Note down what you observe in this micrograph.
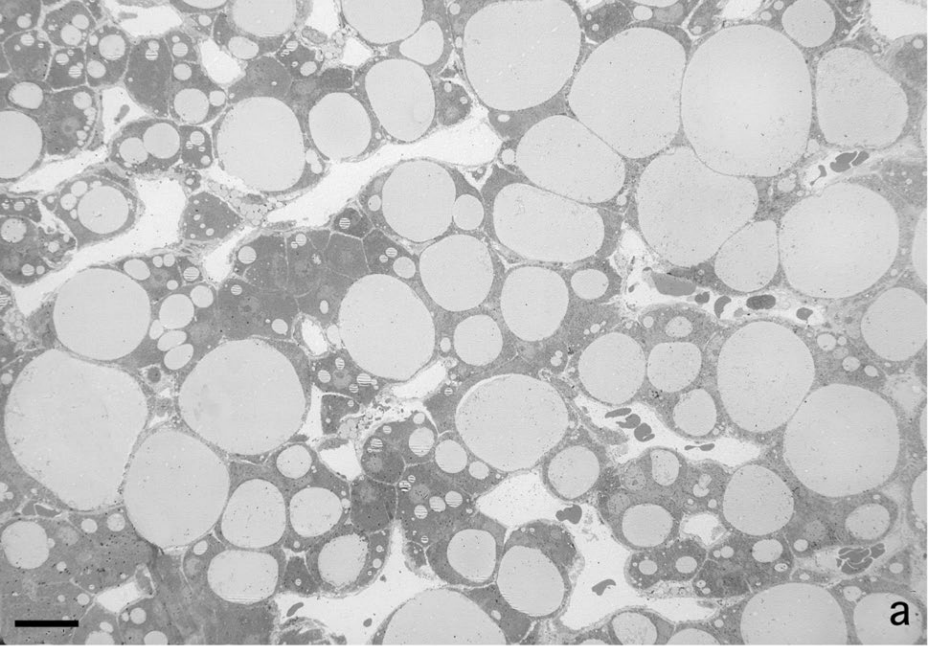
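Steatotic liver parenchyma with parenchymal cells crowded by large, round, evenly pale fat droplets that leave only thin rims of darker cytoplasm. Smaller droplets lie in some cells, and irregular open sinusoids containing dark red blood cells run between the cell plates.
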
